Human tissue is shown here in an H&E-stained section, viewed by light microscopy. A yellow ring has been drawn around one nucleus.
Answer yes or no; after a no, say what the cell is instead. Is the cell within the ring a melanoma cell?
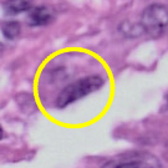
Yes.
